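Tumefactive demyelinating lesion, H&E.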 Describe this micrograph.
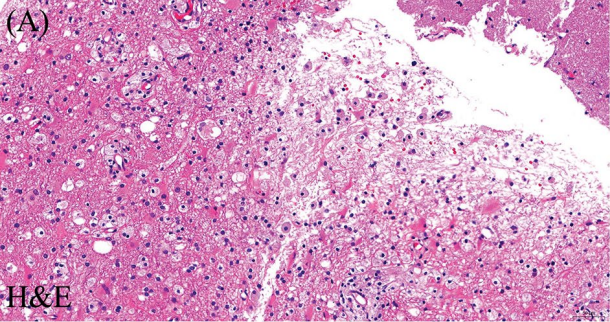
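Brain tissue showing reactive gliosis, with many glial cells spread through a pink, fibrillary background. Some cells are enlarged, with plentiful glassy pink cytoplasm and eccentric nuclei, while others have small dark round nuclei. Scattered clear round vacuoles and small vessels interrupt the tissue. Toward the centre a looser, paler region holds more rounded cells with foamy cytoplasm. A cleft runs across the upper right, beyond which lies a more uniform pink tissue with fewer nuclei.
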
